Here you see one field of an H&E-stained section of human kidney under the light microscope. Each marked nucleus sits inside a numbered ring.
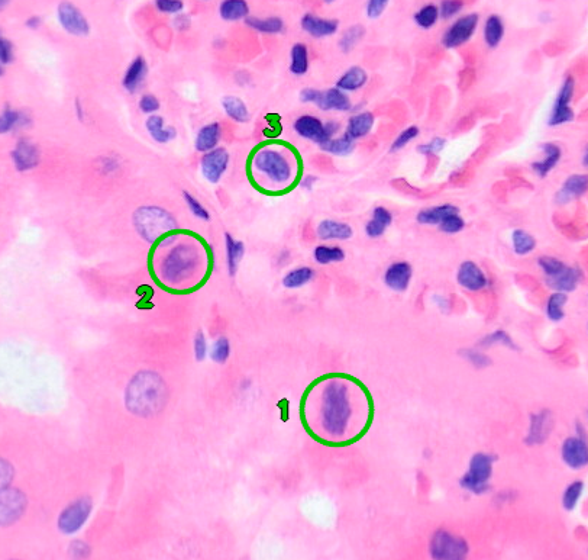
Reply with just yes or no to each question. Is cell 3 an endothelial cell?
yes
